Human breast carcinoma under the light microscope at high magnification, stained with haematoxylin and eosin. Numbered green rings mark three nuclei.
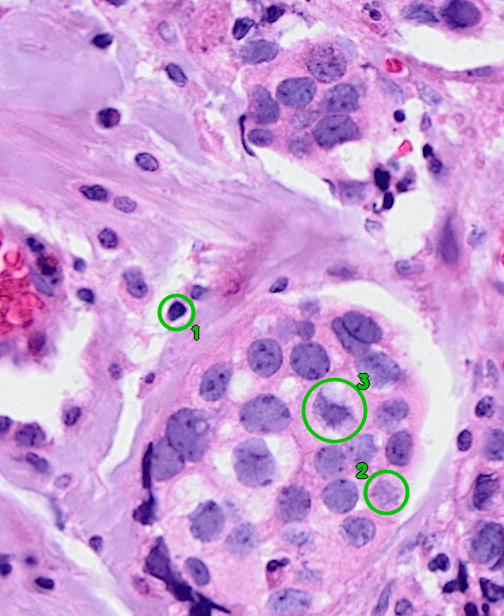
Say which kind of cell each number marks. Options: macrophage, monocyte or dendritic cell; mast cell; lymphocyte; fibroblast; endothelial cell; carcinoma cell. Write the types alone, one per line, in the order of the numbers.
lymphocyte
carcinoma cell
carcinoma cell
